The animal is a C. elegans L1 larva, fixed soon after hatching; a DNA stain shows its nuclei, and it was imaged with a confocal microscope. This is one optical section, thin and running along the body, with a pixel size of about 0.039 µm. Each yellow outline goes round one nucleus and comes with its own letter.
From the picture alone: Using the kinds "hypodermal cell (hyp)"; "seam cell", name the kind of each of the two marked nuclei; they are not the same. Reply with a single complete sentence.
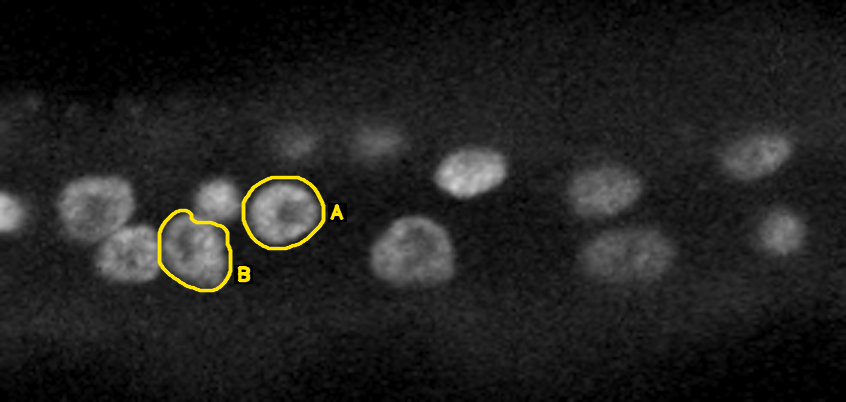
A is the nucleus of a seam cell; B is the nucleus of a hypodermal cell (hyp).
